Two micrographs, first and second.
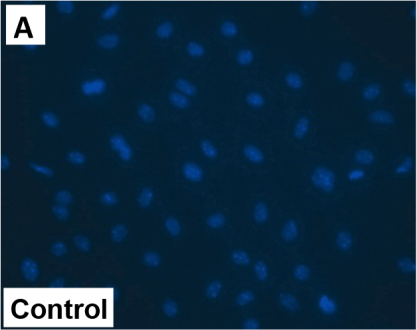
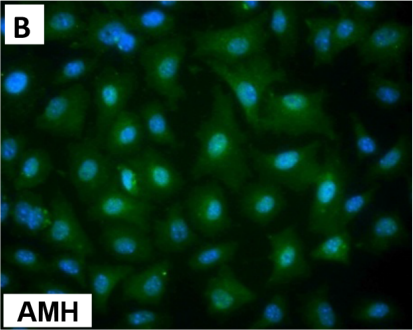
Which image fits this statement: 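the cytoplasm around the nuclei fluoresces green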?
The second image.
